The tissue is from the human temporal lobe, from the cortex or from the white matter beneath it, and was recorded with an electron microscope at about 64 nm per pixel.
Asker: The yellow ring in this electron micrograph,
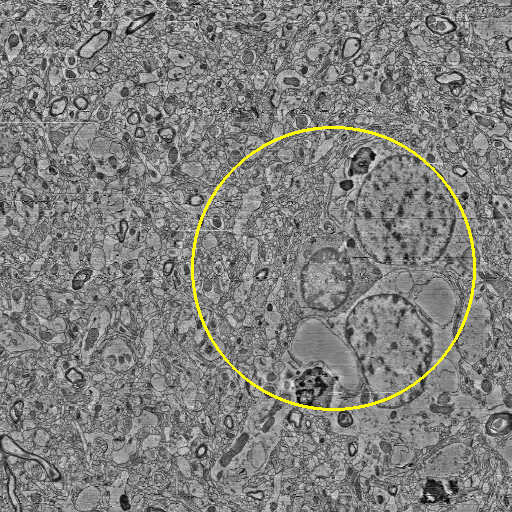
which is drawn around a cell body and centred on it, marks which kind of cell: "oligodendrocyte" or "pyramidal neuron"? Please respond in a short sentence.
The marked cell is an oligodendrocyte.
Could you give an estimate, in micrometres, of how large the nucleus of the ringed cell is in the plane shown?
In this plane the nucleus spans approximately 4 by 3 micrometers.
